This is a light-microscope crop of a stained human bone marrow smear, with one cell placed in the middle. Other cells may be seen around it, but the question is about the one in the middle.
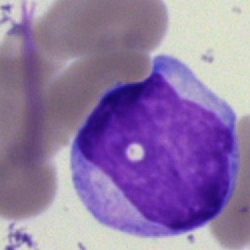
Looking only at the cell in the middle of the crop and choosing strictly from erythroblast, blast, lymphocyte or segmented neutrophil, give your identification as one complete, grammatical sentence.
Regarding the central cell, it is a blast.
